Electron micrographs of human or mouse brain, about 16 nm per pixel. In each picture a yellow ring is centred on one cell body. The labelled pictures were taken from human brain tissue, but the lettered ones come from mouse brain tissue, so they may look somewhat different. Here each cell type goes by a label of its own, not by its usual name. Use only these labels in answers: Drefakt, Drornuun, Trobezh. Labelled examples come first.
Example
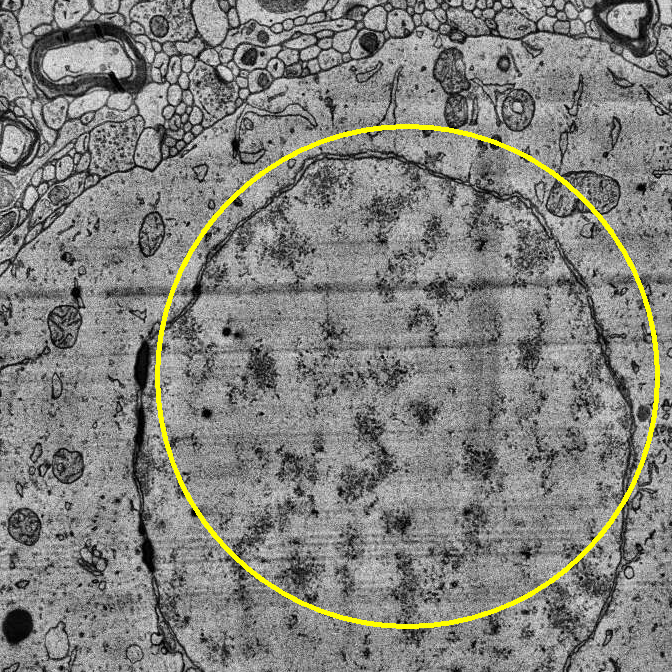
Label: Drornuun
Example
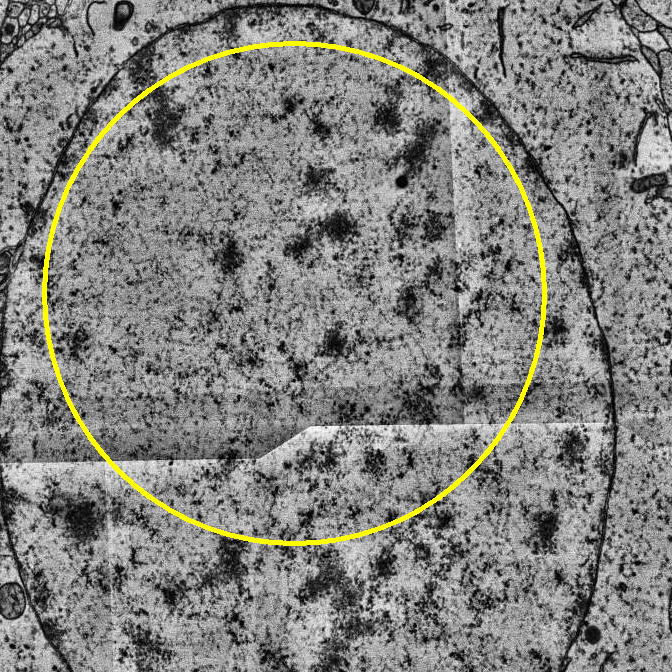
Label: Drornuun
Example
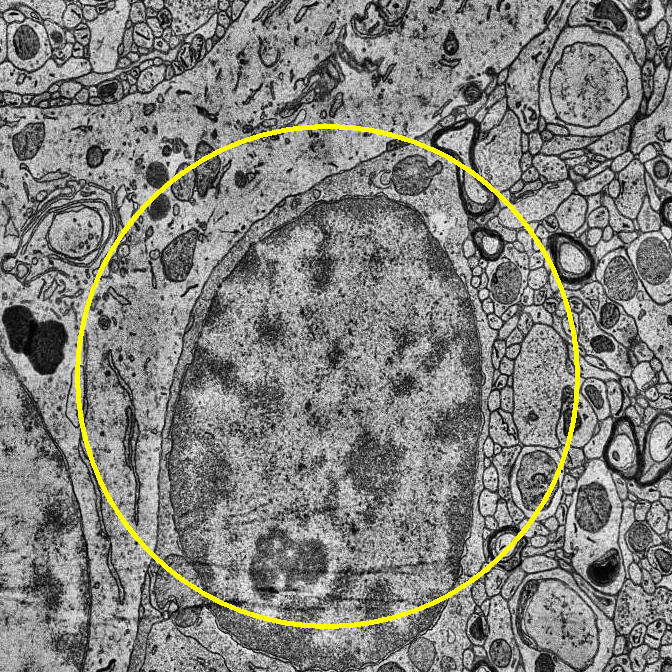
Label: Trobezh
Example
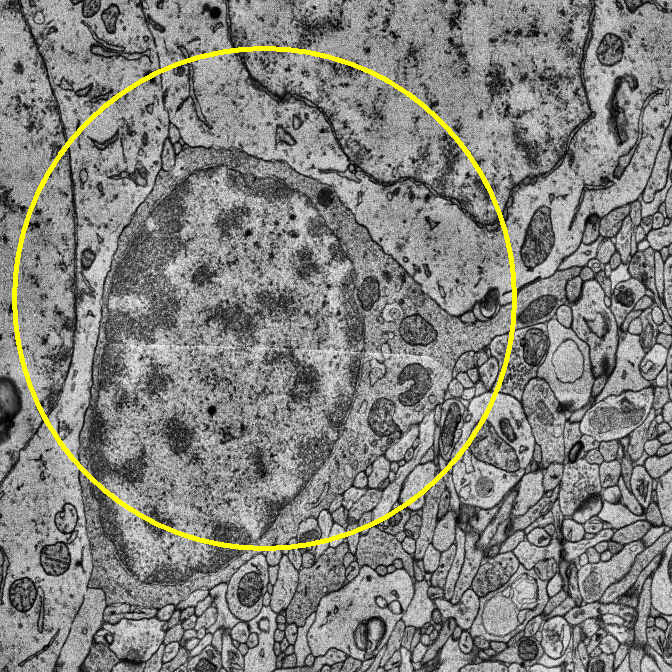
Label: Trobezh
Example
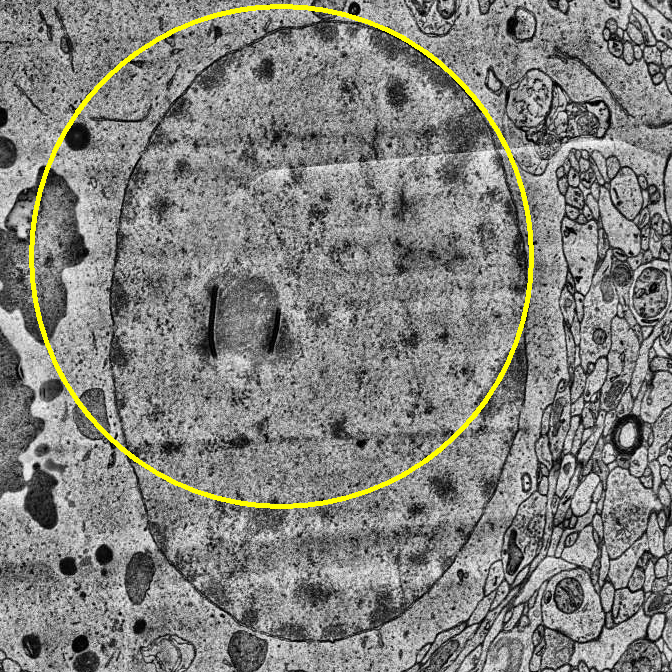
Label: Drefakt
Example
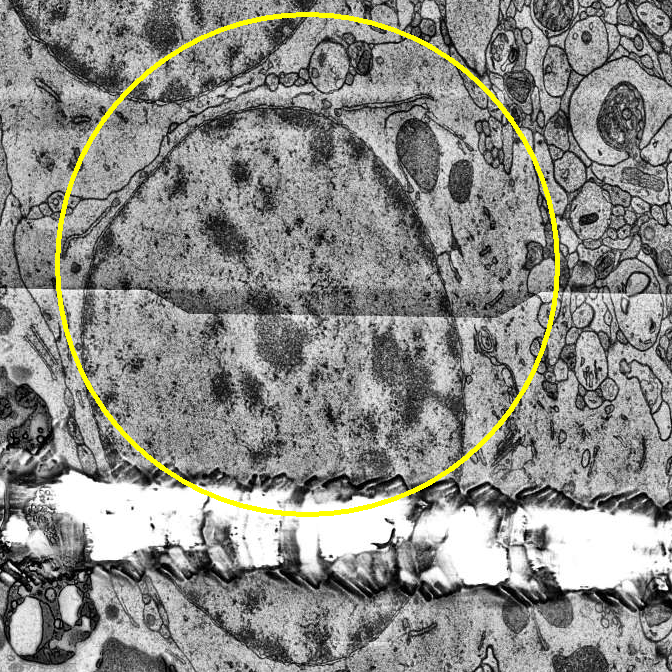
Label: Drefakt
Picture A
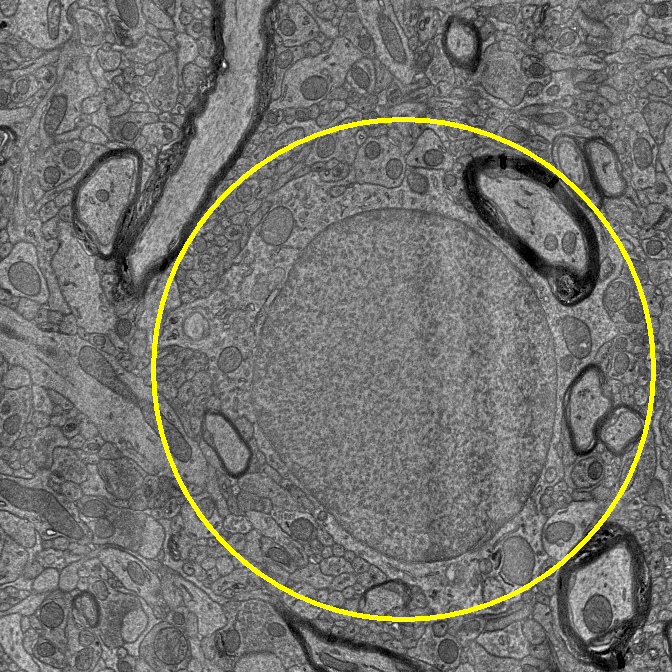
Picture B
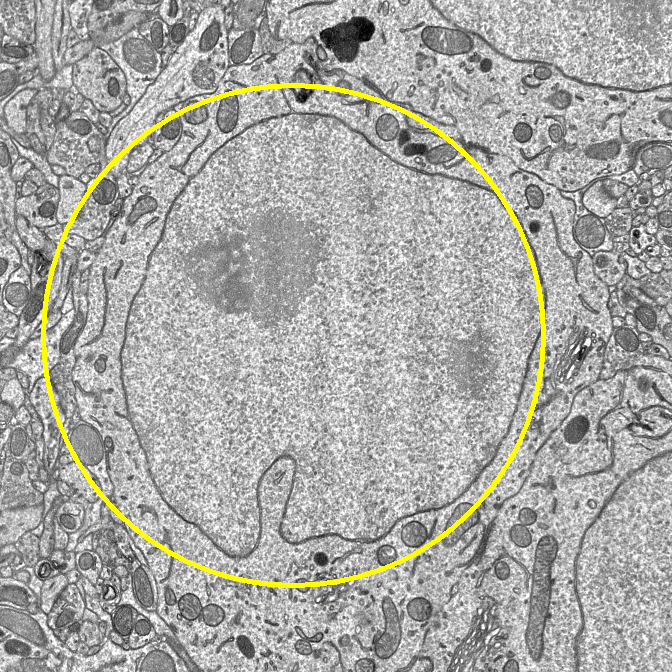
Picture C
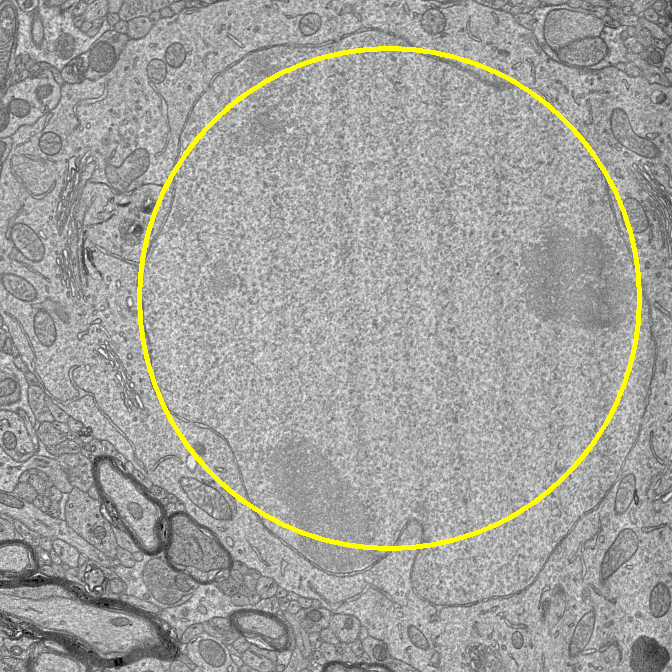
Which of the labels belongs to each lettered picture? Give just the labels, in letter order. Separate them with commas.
Drefakt, Drornuun, Drornuun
